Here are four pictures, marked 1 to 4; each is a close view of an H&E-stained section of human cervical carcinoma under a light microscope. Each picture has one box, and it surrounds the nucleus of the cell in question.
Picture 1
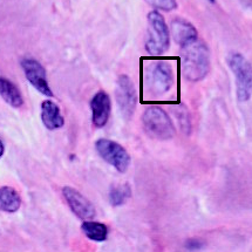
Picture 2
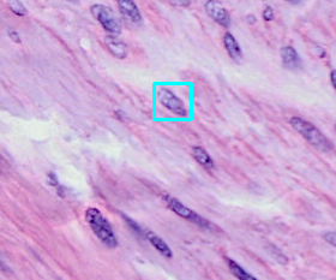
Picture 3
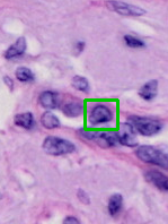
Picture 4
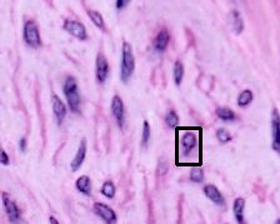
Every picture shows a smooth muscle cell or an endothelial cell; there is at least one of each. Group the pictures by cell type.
1: endothelial cell
2: smooth muscle cell
3: endothelial cell
4: smooth muscle cell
